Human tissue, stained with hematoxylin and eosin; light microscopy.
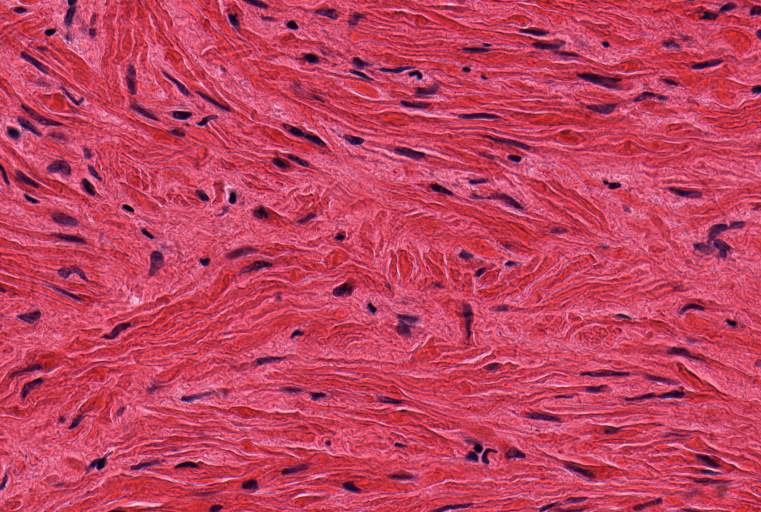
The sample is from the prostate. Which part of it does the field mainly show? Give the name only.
fibromuscular stroma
